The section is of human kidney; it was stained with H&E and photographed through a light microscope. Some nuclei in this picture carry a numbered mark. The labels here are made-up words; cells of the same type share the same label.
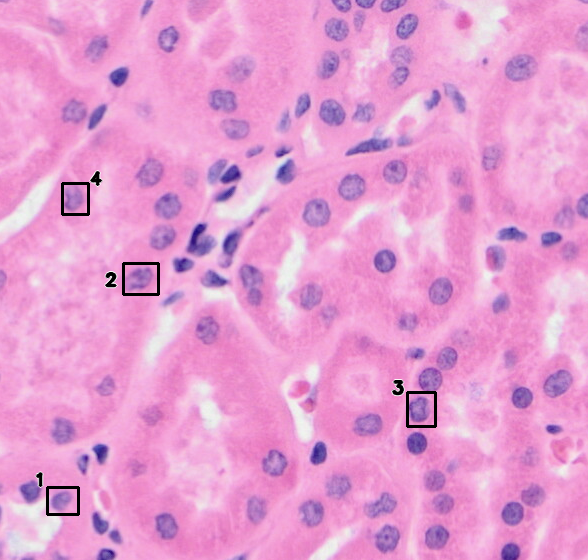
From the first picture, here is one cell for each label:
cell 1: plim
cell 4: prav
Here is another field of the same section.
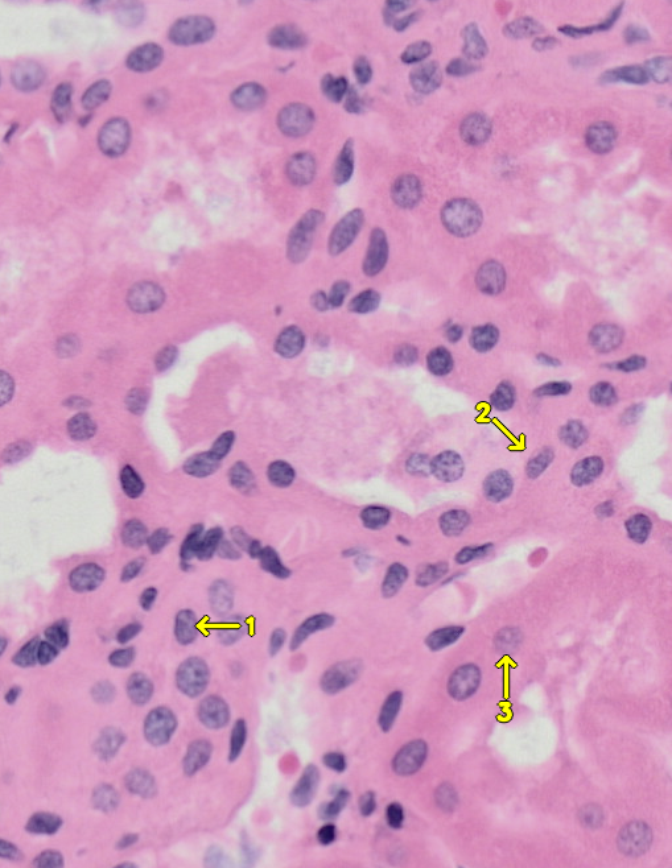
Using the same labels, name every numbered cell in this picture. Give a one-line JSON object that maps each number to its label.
{"1": "plim", "2": "plim", "3": "prav"}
